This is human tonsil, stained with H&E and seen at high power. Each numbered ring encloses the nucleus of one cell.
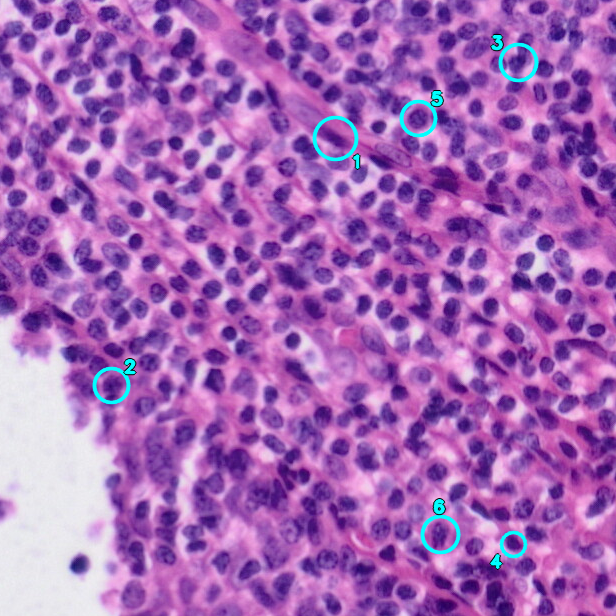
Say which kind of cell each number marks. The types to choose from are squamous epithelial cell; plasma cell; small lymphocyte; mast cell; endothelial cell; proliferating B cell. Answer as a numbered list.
1. endothelial cell
2. squamous epithelial cell
3. small lymphocyte
4. plasma cell
5. plasma cell
6. plasma cell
